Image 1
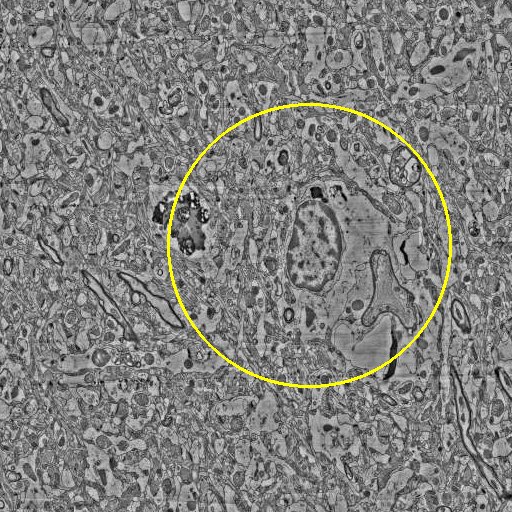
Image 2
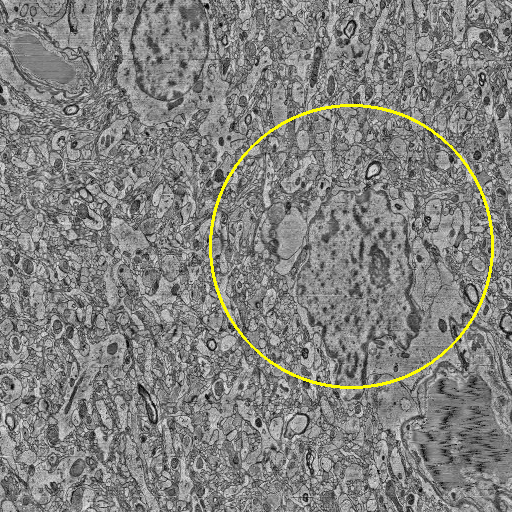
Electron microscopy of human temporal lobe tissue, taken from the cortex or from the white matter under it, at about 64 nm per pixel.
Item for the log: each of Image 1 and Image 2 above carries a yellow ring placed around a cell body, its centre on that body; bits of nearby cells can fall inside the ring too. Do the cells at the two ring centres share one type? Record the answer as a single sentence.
Yes, the two cells at the ring centres in Image 1 and Image 2 share one type.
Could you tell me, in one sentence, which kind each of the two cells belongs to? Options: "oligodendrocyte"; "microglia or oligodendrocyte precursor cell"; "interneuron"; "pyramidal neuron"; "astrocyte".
Both cells are the same kind, each one being a microglial cell or oligodendrocyte precursor cell.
